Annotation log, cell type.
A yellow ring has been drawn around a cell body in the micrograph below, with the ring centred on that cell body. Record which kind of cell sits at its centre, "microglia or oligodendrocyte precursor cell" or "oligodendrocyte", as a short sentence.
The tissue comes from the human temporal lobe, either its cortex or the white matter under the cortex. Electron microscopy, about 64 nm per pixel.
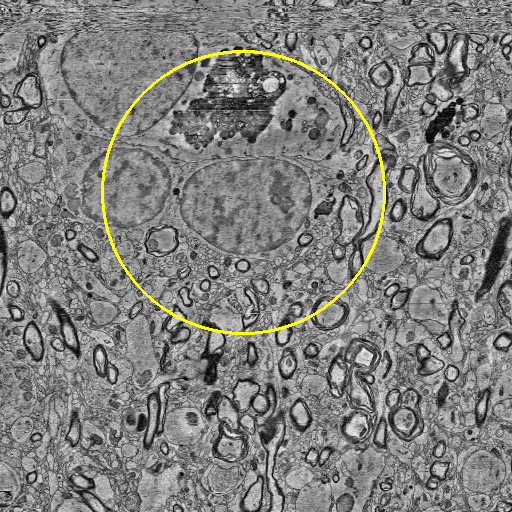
The cell at the centre of this ring is an oligodendrocyte.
